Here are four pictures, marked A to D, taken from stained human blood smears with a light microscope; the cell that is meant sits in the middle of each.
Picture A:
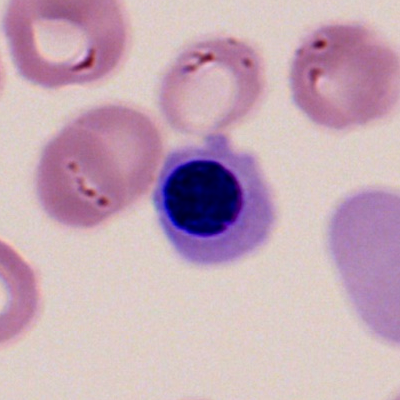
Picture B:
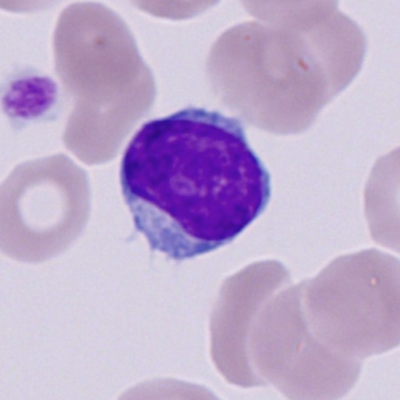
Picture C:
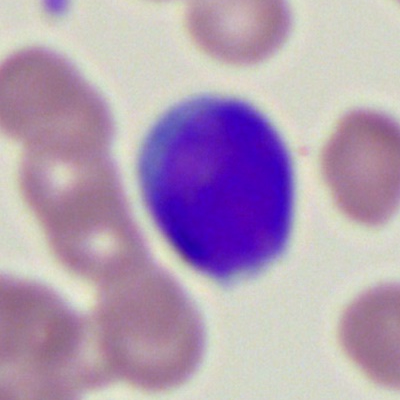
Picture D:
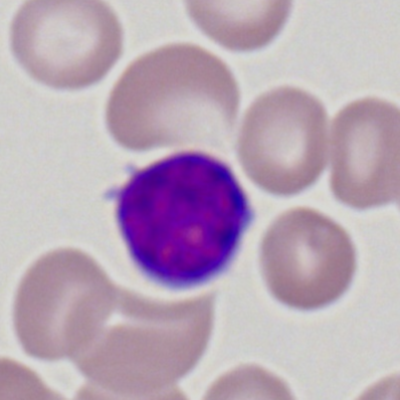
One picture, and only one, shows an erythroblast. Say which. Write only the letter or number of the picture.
A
